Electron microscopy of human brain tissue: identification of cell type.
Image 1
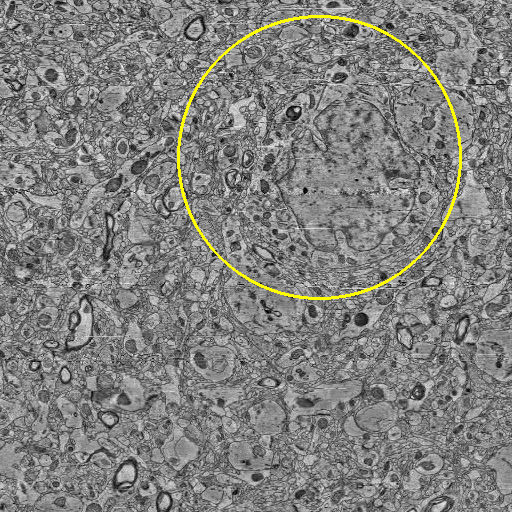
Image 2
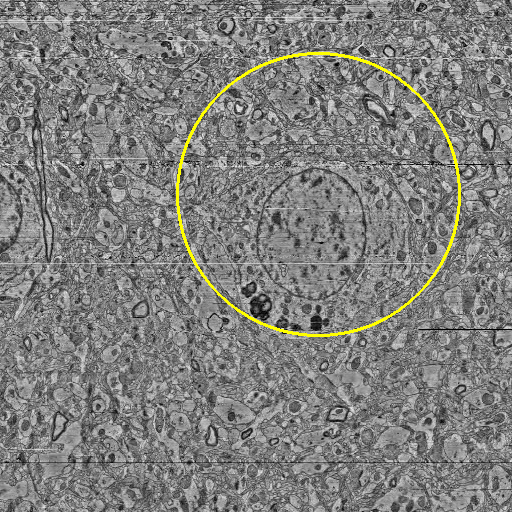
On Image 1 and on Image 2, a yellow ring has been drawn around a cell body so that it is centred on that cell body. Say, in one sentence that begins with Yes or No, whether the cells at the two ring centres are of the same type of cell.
No, the two cells are two separate types of cell.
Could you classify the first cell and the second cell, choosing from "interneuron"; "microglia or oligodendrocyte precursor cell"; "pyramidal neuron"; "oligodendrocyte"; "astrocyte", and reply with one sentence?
The second cell is a pyramidal neuron, while the first is an interneuron.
